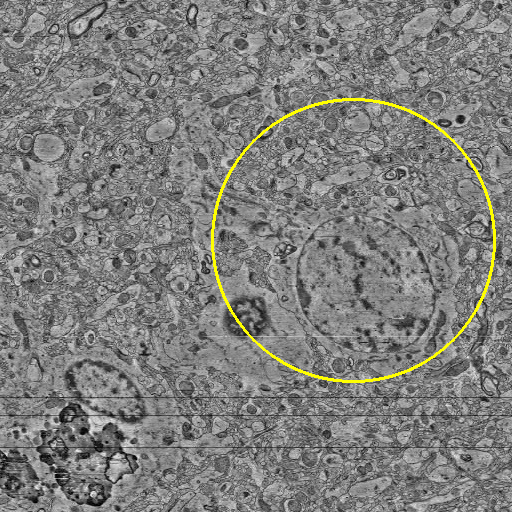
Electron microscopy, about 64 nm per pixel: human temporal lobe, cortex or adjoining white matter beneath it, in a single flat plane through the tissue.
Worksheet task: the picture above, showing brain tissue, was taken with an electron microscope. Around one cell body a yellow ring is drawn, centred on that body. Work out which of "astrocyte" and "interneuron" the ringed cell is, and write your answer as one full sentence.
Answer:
It is an astrocyte whose cell body lies at the centre of the yellow ring.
